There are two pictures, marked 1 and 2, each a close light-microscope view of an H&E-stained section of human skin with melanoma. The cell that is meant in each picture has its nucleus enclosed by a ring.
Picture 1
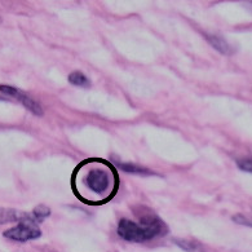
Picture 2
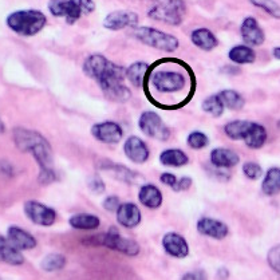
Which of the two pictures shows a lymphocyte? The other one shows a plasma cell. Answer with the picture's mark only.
2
